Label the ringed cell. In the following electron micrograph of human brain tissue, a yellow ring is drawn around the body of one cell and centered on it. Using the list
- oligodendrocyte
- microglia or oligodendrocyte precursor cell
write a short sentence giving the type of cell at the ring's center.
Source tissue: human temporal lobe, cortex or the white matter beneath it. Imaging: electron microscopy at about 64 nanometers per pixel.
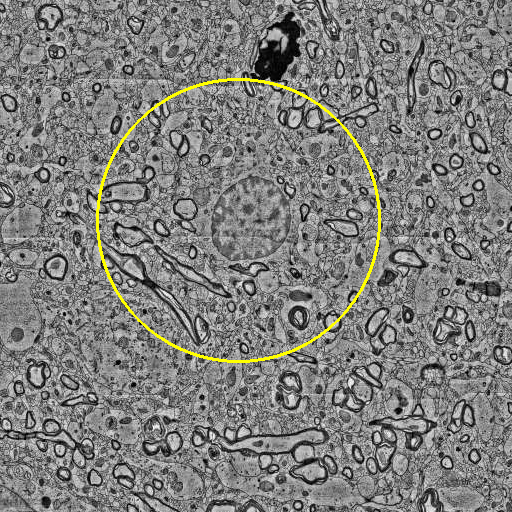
The cell body at the ring's center is that of an oligodendrocyte.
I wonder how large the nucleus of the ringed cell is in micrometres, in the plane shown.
The nucleus appears roughly 6 by 5 micrometres in this plane.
